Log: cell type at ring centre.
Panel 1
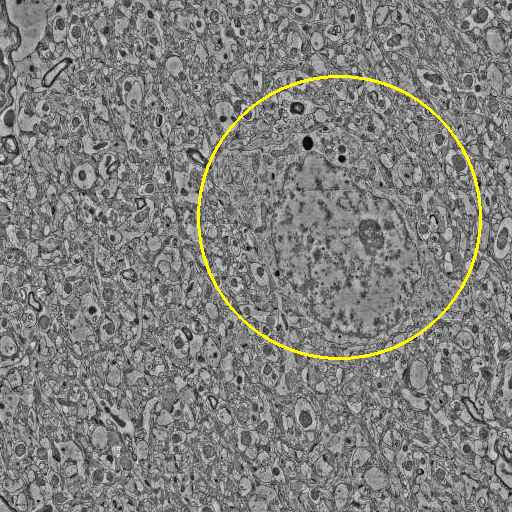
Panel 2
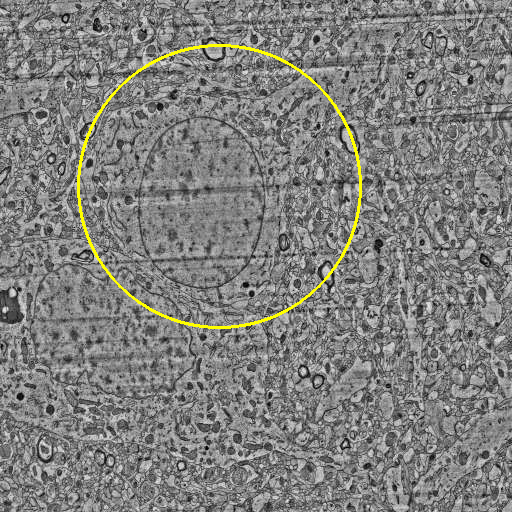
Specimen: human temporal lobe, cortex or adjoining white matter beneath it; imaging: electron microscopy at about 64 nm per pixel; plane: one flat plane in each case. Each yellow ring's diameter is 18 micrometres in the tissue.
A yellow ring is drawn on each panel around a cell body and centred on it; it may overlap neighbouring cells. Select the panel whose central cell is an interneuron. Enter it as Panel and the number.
Panel 1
